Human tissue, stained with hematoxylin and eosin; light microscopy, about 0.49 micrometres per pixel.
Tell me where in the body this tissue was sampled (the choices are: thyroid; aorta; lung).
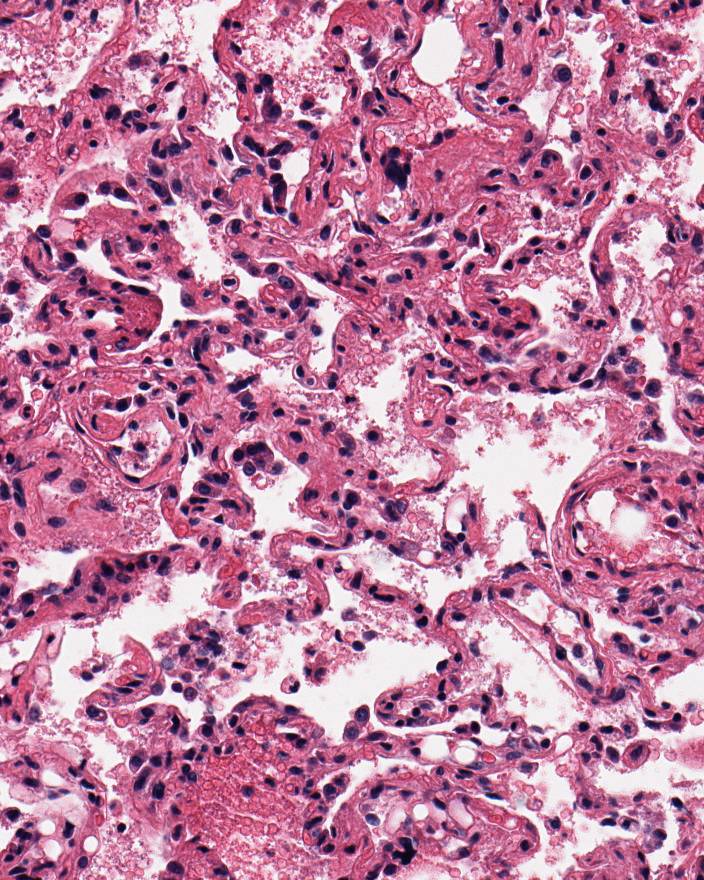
lung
